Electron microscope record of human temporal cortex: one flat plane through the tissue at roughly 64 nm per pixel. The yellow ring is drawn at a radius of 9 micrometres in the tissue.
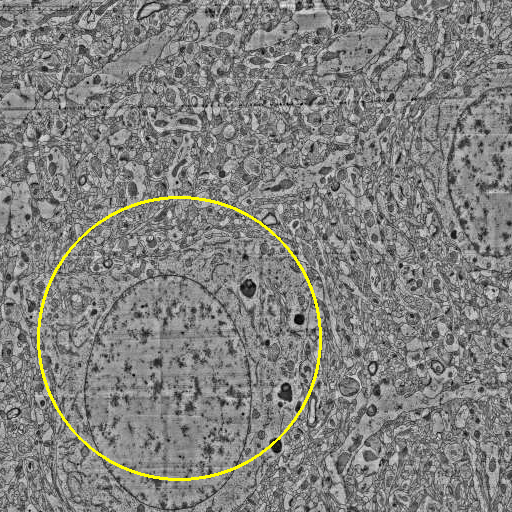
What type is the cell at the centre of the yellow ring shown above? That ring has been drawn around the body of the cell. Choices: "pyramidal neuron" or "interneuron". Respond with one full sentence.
My answer is that a pyramidal neuron lies at the centre of the yellow ring above.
